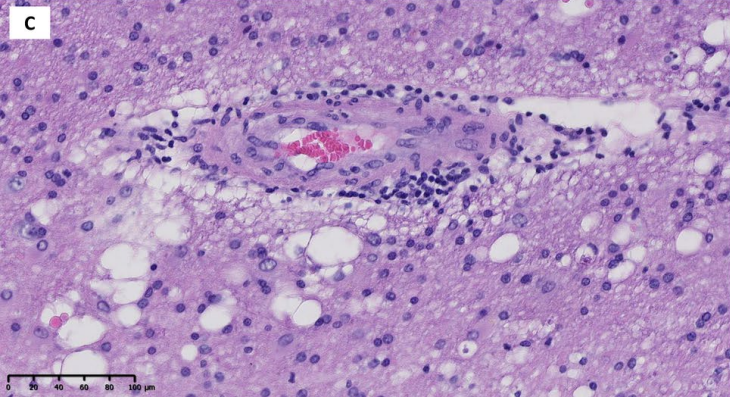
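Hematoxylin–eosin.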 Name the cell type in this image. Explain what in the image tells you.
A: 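Lymphocytes. The dark round cells form a cuff around the vessel lumen.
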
